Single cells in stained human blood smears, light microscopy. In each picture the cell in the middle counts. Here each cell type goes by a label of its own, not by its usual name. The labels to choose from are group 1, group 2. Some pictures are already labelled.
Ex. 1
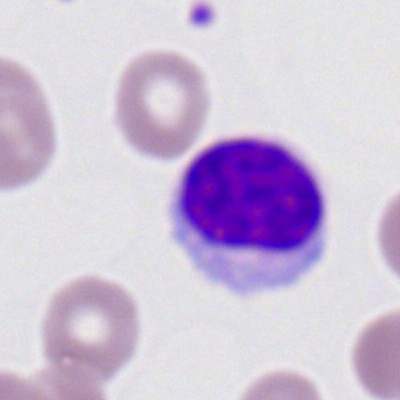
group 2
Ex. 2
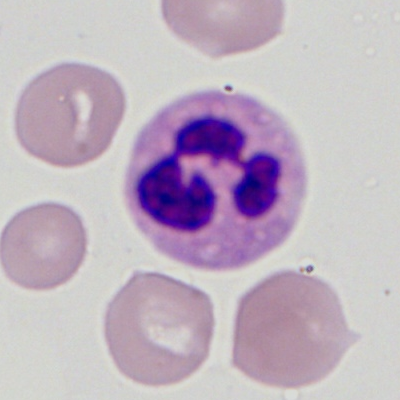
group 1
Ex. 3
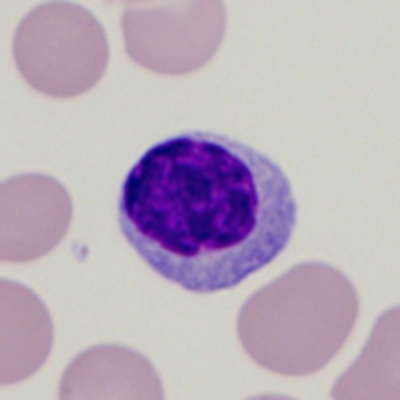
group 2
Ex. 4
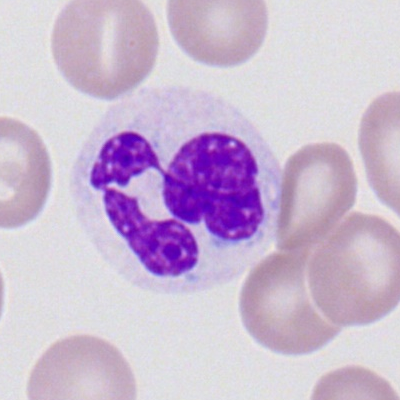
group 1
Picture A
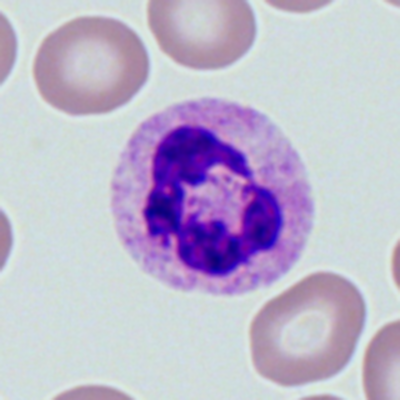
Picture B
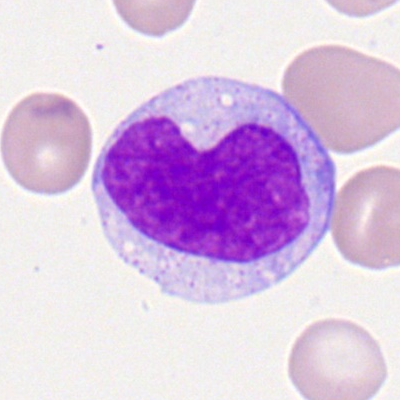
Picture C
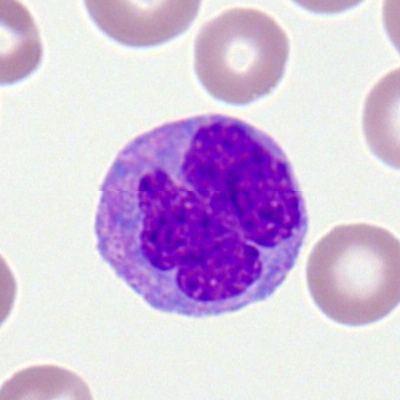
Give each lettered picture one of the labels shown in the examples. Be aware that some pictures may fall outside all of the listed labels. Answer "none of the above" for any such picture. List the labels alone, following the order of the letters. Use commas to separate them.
group 1, none of the above, none of the above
